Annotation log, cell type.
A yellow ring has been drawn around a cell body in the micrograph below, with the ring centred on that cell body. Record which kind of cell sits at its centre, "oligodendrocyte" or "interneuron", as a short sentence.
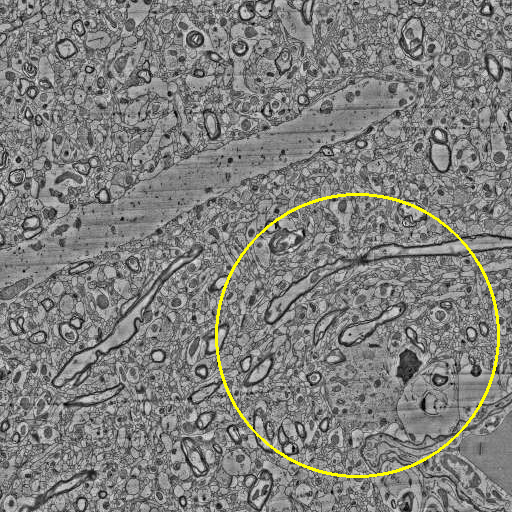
The cell at the centre of this ring is an oligodendrocyte.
